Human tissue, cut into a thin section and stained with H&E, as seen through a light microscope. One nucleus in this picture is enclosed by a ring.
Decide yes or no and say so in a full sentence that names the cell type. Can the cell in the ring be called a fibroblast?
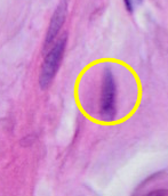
No, the cell in the ring is not to be called a fibroblast; it is a smooth muscle cell.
